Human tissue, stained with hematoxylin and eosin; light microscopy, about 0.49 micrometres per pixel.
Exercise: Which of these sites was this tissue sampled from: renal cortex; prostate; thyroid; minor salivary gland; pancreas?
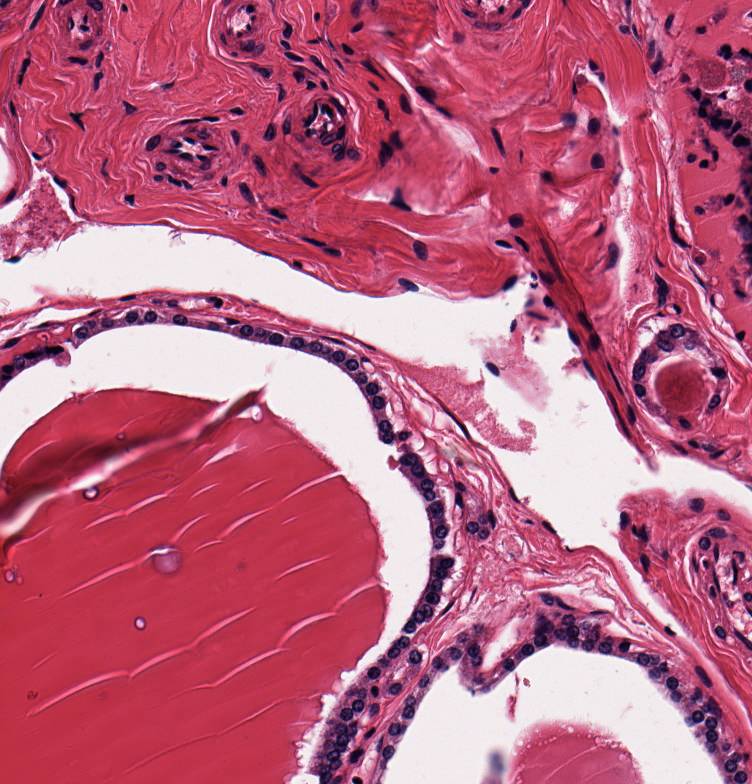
thyroid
